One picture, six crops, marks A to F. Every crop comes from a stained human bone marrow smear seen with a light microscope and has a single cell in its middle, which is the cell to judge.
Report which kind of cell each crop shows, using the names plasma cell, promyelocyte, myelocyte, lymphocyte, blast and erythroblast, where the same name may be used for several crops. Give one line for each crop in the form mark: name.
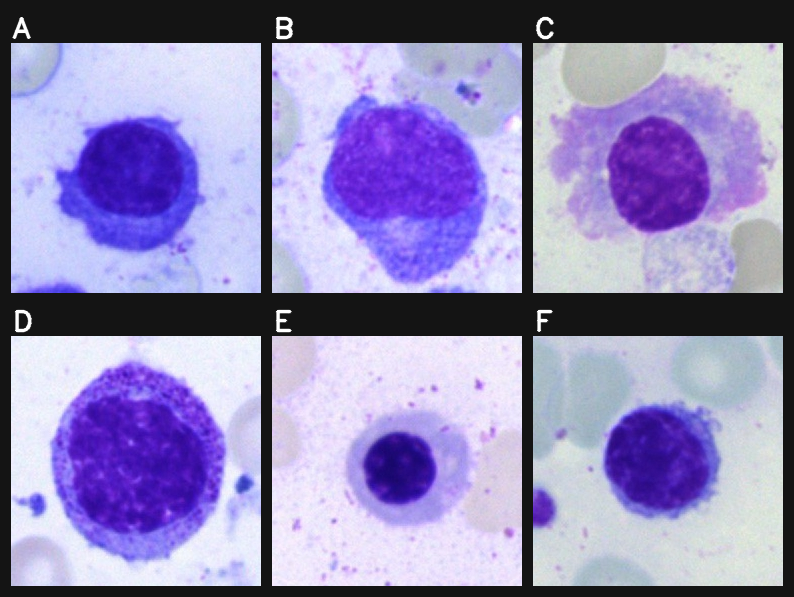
A: plasma cell
B: promyelocyte
C: plasma cell
D: promyelocyte
E: erythroblast
F: lymphocyte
